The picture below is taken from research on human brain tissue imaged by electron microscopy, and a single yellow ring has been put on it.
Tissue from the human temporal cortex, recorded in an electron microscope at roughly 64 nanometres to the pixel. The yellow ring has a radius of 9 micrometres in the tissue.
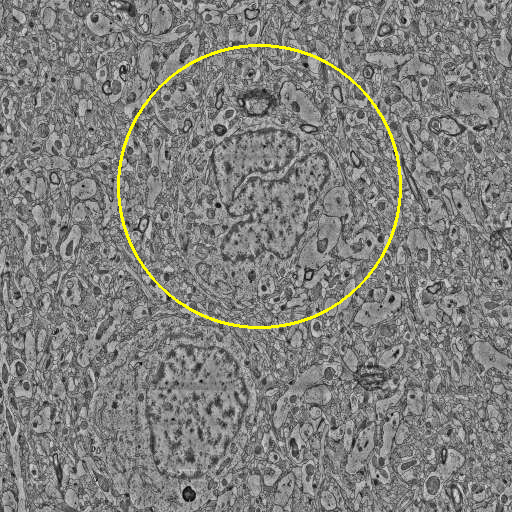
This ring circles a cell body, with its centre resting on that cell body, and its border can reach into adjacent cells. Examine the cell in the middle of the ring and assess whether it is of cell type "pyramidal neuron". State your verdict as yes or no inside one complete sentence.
No, in the picture, the cell lying at the centre of the ring is of a different type.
